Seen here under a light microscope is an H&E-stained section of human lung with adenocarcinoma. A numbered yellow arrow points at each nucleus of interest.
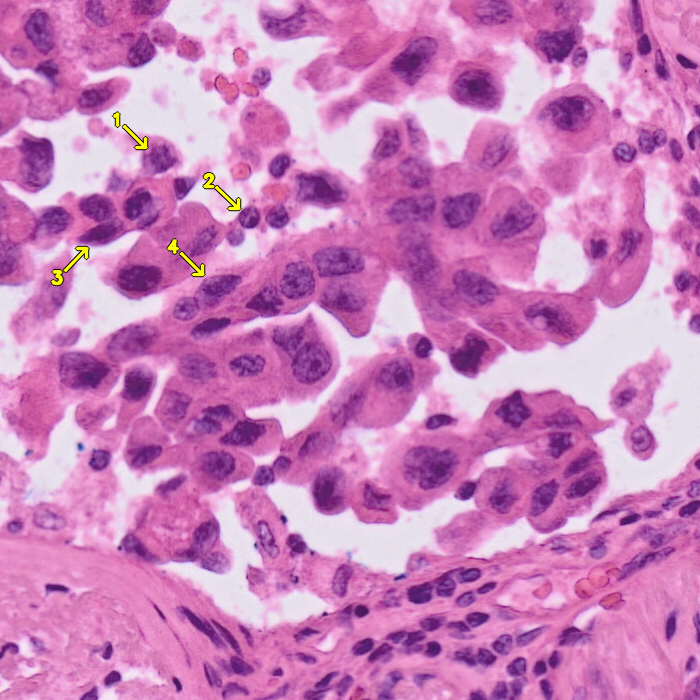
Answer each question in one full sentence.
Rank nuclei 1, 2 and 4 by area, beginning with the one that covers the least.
Smallest first, the nuclei run 2, 1, 4.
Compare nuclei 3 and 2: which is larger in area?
It is nucleus 3, which covers about 1.5 times the area of nucleus 2.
